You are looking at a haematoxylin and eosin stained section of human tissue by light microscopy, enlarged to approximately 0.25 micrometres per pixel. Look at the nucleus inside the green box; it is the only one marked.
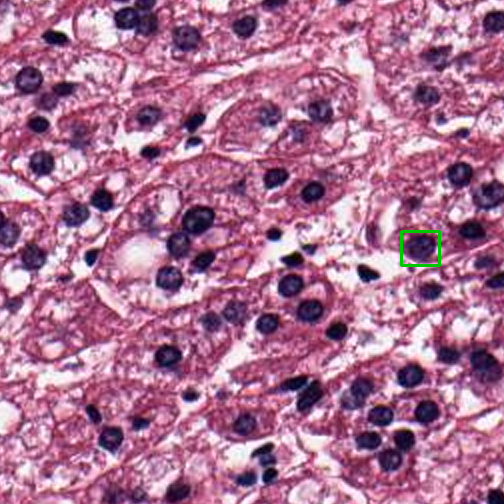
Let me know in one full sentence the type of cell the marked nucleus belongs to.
The cell that the marked nucleus belongs to is an adrenal cortical cell.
